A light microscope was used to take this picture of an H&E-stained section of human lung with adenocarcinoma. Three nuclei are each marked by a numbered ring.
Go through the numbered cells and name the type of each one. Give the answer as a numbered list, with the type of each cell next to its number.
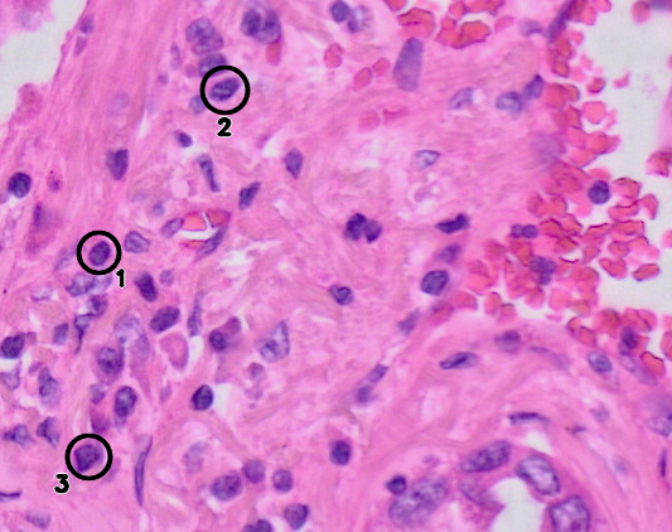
1. lymphocyte
2. lymphocyte
3. plasma cell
